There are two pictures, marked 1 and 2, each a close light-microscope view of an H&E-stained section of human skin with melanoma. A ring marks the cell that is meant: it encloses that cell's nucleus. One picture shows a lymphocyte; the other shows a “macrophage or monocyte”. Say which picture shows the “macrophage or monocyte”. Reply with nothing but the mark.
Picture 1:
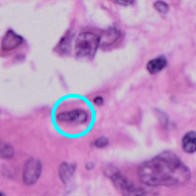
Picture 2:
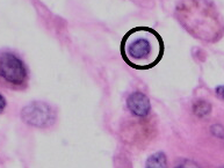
1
